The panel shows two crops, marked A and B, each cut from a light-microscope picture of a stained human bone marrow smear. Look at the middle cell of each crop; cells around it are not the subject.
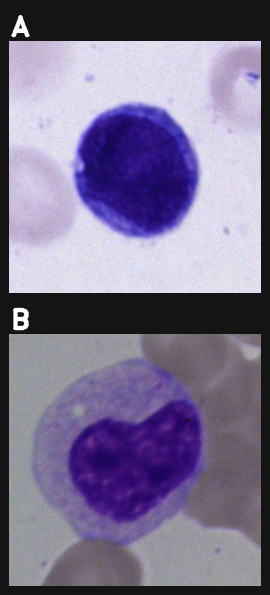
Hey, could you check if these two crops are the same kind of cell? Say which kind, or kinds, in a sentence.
No, shown in crop A is a monocyte, and shown in crop B is a metamyelocyte.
